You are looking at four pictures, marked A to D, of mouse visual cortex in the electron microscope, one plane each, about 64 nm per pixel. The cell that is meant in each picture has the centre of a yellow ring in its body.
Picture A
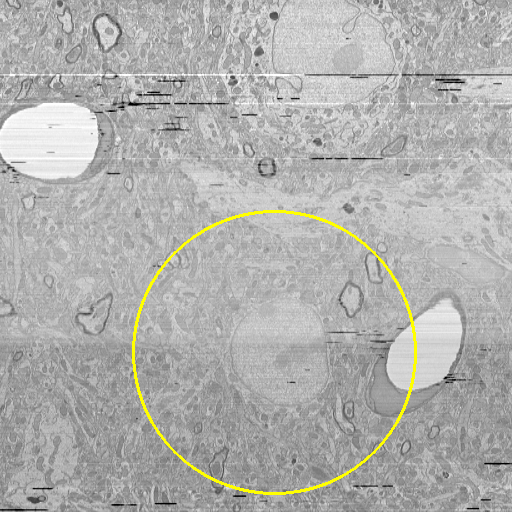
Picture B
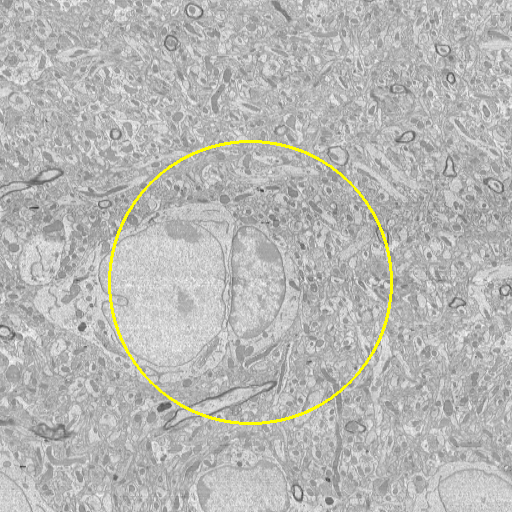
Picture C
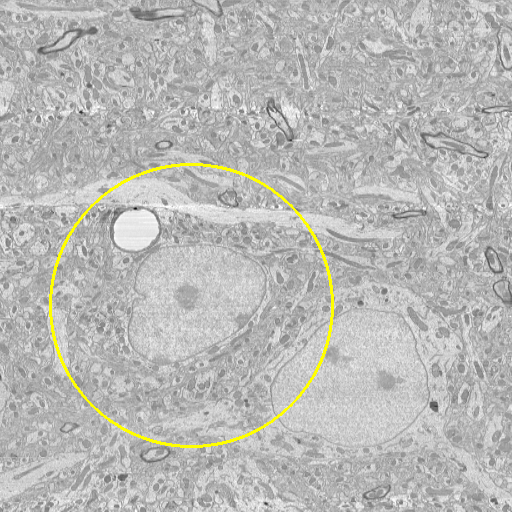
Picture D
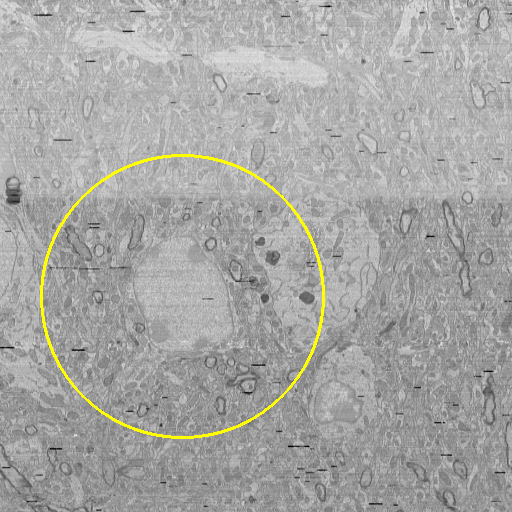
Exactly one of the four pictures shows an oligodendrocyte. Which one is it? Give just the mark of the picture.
B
